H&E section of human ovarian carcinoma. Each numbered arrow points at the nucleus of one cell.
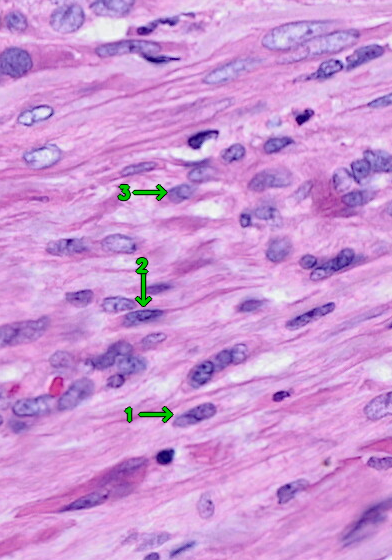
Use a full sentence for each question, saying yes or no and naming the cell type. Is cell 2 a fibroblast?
Yes, in this section the cell numbered 2 is a fibroblast.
